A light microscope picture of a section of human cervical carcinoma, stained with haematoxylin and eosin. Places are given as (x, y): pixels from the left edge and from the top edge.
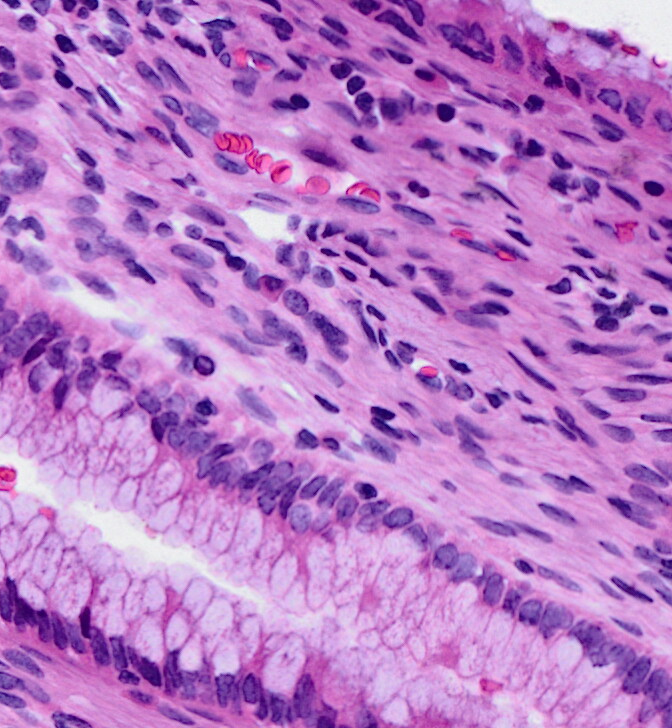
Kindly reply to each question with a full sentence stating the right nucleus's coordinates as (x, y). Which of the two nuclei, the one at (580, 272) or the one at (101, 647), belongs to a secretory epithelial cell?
So, of the two, the nucleus at (101, 647) is the one belonging to a secretory epithelial cell.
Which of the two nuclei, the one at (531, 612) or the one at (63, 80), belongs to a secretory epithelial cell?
The one belonging to a secretory epithelial cell is the nucleus at (531, 612), not the other.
